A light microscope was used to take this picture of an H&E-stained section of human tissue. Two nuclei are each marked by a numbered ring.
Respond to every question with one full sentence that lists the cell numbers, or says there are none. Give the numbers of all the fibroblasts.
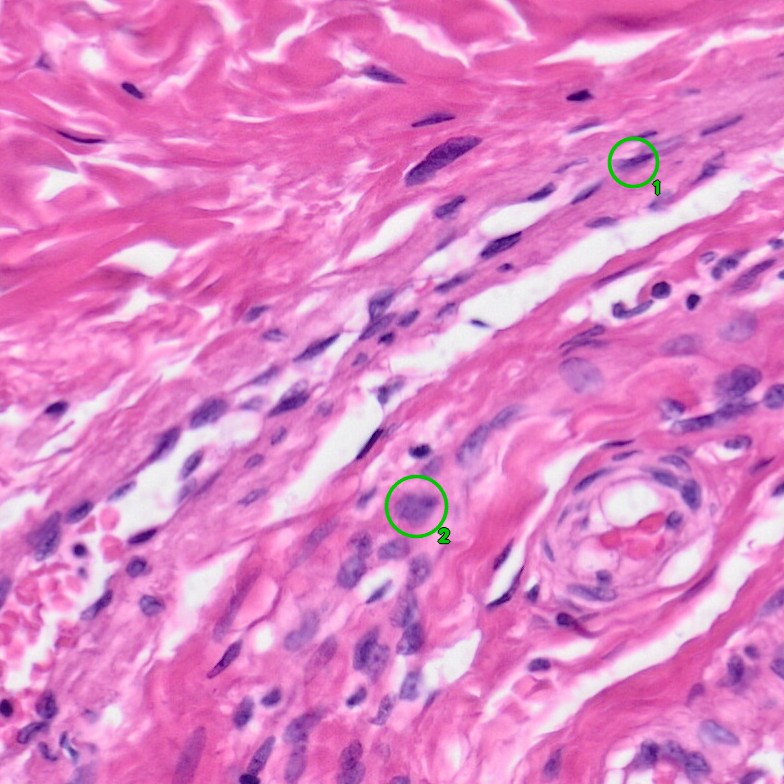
There is only one numbered cell that is a fibroblast, and it is cell 2.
